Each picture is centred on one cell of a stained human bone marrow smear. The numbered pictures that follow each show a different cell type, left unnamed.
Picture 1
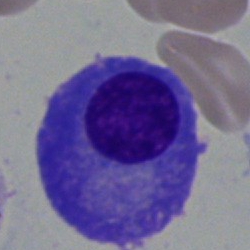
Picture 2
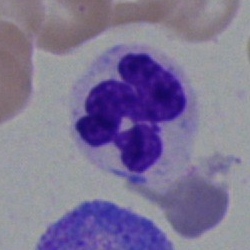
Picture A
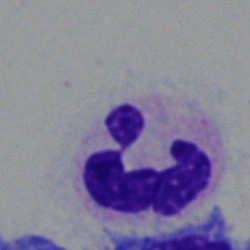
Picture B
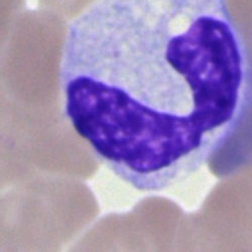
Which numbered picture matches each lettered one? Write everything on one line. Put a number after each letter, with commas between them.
A 2, B 2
